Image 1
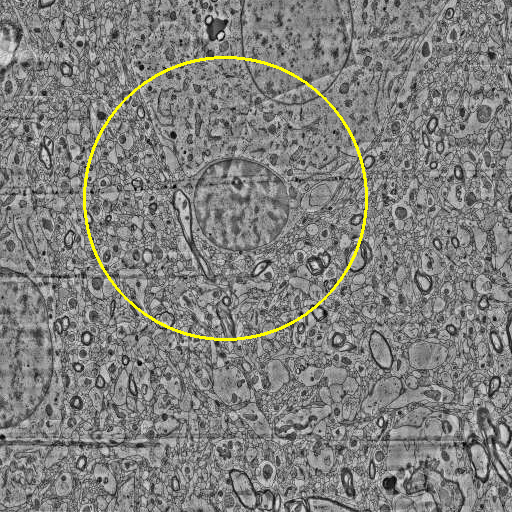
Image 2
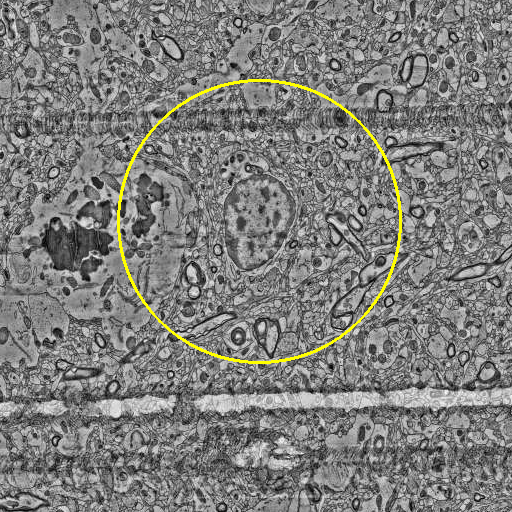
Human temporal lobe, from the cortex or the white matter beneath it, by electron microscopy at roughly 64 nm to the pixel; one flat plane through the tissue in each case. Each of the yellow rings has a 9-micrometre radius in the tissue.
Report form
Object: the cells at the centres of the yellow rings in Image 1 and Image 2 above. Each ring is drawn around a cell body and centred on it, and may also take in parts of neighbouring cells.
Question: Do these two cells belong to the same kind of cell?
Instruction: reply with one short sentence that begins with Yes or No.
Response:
No, they belong to two kinds of cell.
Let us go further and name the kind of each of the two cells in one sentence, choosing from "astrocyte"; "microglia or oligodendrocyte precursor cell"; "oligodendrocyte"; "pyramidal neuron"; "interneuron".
The ring of the first picture is on an oligodendrocyte, the ring of the second on a microglial cell or oligodendrocyte precursor cell.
